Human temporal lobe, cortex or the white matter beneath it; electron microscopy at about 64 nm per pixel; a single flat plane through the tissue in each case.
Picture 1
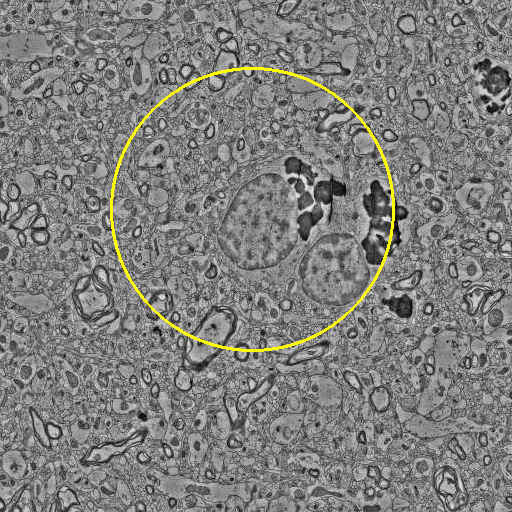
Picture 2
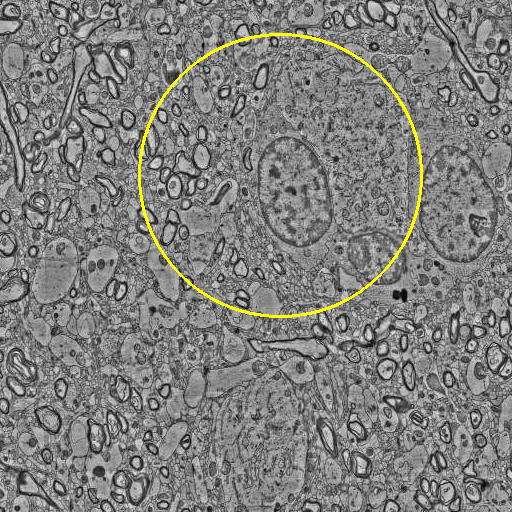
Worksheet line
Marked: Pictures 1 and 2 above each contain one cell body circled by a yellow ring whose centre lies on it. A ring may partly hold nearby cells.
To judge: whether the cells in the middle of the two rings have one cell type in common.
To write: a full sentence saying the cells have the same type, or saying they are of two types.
The cells in the middle of the rings in Picture 1 and Picture 2 have the same type.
